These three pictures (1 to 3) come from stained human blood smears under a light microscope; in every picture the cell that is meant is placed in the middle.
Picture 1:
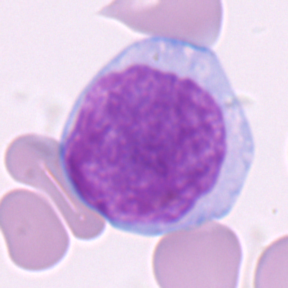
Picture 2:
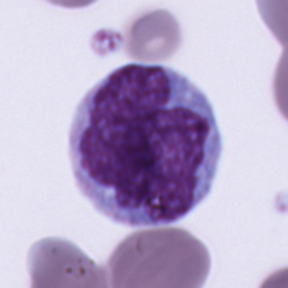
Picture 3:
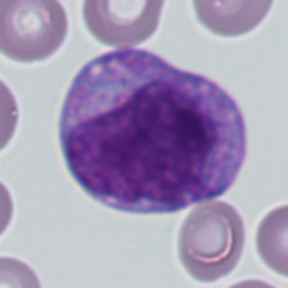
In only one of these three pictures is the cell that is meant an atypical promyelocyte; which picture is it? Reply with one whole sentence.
The atypical promyelocyte is the one in picture 3.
